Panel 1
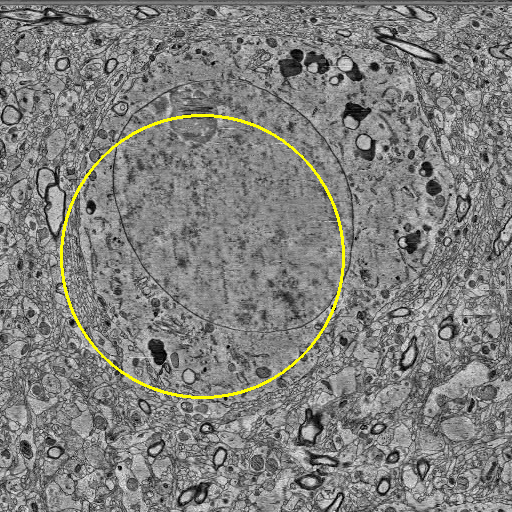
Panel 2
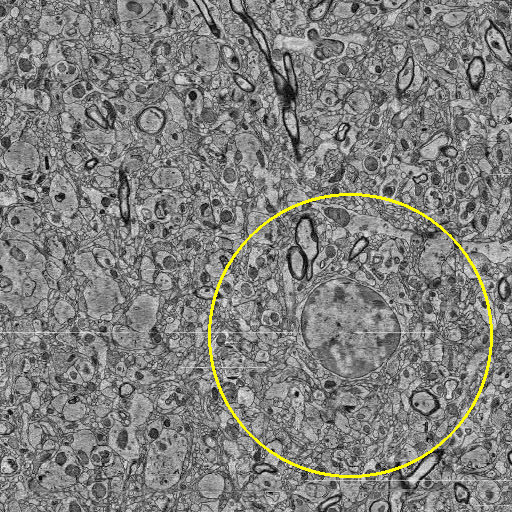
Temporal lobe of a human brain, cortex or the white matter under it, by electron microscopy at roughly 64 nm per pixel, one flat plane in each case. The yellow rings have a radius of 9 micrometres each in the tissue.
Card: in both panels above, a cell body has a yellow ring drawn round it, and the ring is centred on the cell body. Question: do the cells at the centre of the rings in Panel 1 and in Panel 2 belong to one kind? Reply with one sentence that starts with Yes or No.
No, the cells centred in the rings of Panel 1 and Panel 2 are two kinds of cell.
